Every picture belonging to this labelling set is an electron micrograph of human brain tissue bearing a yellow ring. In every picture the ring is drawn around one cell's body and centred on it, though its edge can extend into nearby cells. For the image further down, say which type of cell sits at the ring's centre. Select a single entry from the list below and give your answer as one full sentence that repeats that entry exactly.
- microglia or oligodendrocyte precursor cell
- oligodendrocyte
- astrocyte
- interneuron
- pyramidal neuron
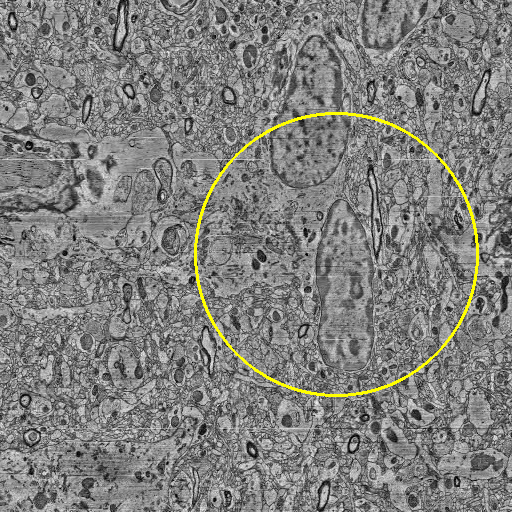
In the picture, a microglial cell or oligodendrocyte precursor cell is the cell at the centre of the yellow ring.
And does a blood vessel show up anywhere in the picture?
Yes, there is one.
